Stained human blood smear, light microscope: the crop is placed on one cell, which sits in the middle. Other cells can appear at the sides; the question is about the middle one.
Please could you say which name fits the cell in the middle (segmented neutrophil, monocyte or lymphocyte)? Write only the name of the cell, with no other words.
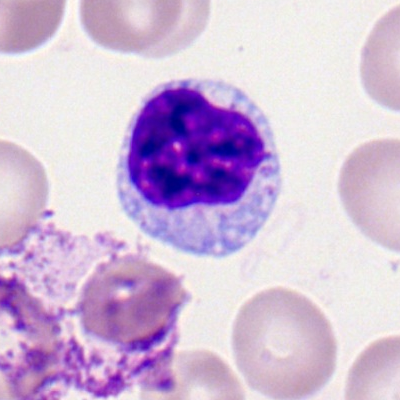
lymphocyte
